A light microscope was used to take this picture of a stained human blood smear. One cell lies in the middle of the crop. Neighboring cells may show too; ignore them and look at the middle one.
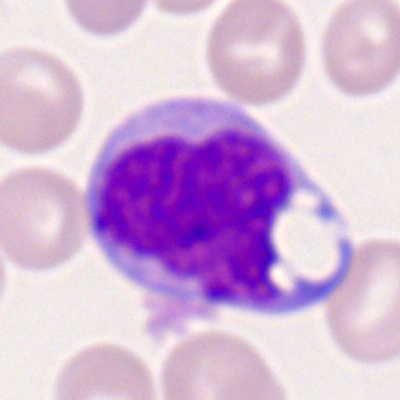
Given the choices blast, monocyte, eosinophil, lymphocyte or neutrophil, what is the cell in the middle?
monocyte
